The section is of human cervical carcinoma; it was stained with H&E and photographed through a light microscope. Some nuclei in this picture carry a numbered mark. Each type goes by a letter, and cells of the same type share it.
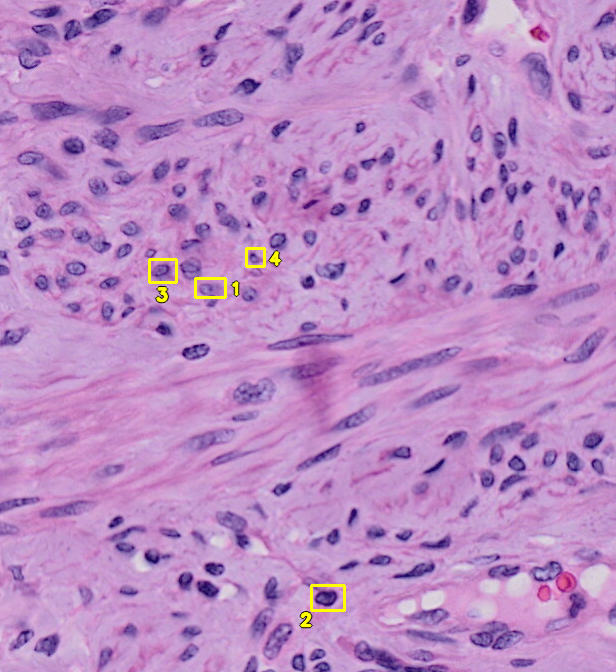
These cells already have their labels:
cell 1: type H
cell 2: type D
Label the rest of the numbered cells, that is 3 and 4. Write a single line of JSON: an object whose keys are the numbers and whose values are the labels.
{"3": "type H", "4": "type H"}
